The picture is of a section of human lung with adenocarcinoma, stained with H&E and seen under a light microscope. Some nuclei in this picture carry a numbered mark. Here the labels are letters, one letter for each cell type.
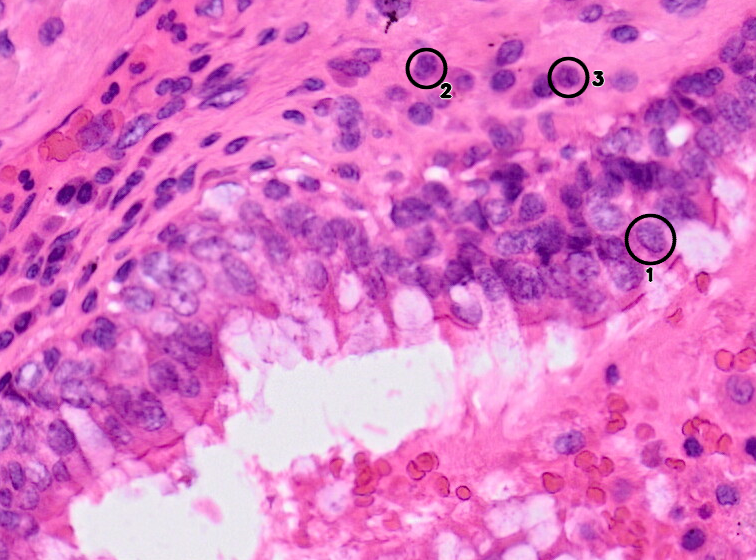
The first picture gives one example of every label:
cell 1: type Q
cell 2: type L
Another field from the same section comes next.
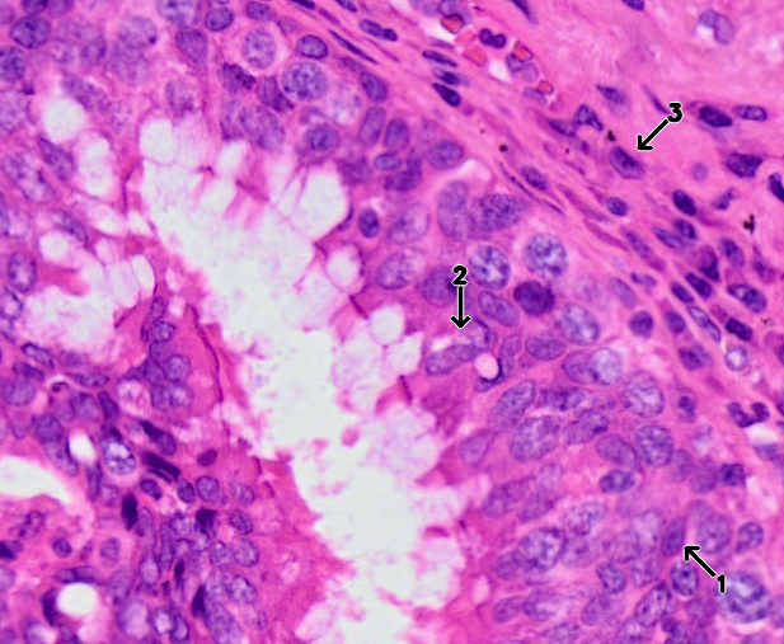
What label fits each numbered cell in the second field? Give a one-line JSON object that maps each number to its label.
{"1": "type Q", "2": "type Q", "3": "type L"}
